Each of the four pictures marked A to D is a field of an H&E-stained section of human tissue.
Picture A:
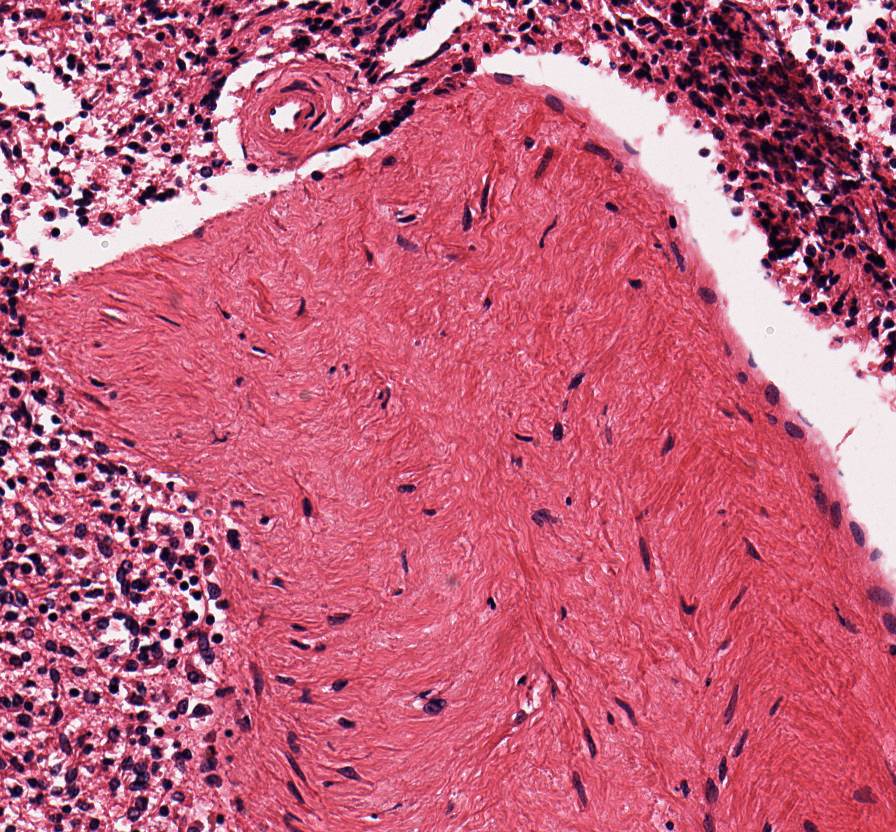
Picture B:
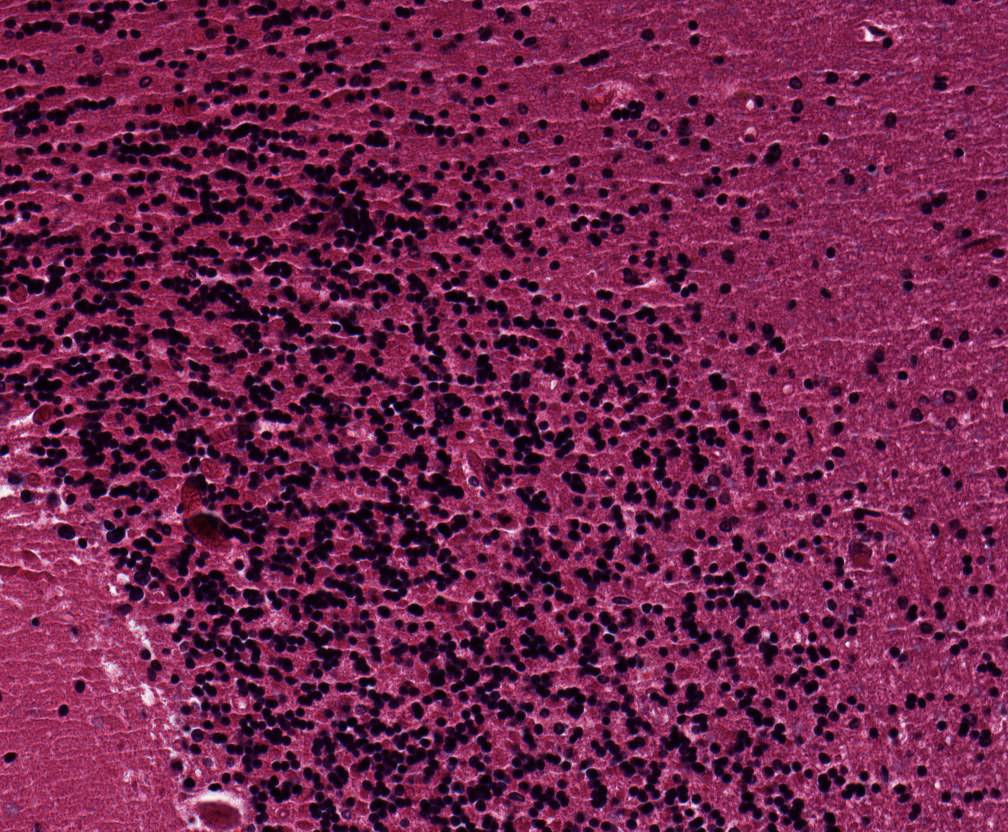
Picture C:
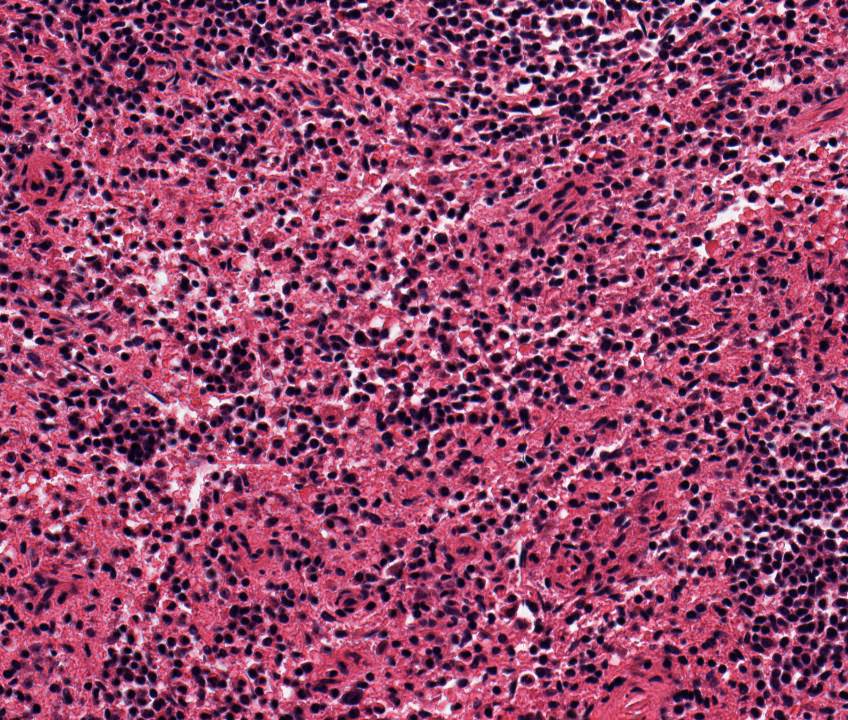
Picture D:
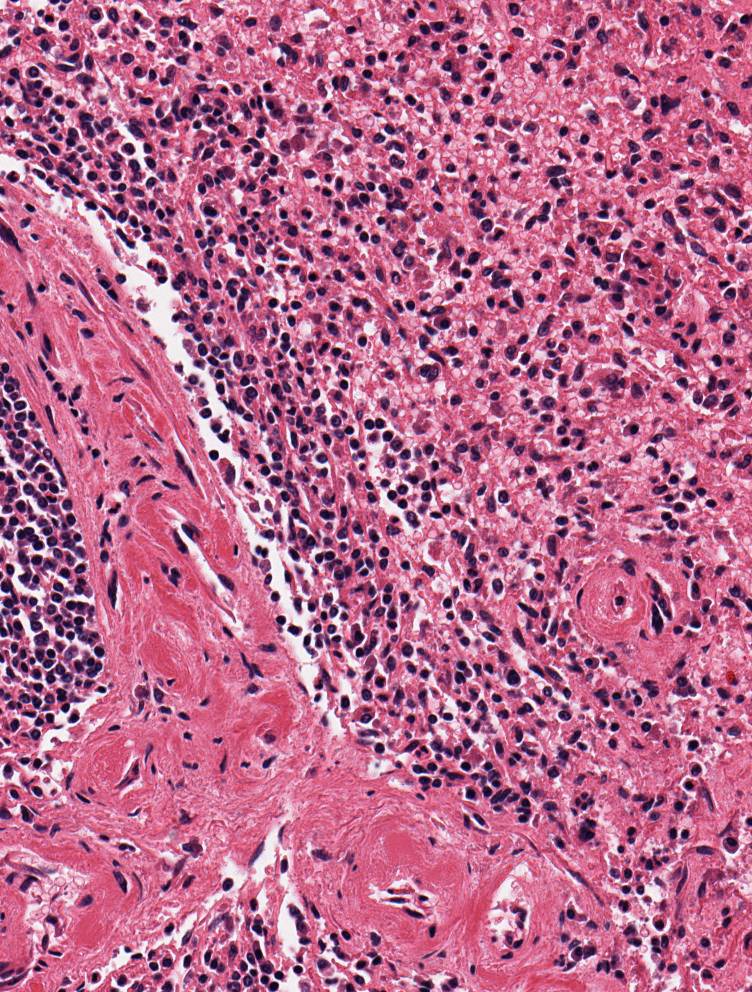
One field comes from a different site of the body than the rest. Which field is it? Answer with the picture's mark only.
B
